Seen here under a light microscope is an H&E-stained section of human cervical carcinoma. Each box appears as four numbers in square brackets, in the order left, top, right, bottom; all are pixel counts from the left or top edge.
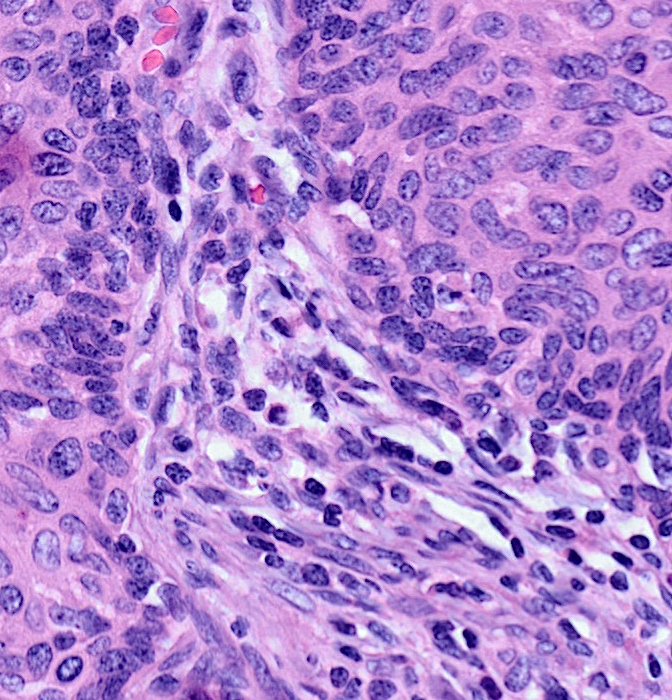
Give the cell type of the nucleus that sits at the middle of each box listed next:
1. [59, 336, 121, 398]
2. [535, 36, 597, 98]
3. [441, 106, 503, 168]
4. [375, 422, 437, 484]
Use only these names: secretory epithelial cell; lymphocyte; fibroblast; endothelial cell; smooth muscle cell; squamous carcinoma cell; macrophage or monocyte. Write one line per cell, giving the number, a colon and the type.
1: squamous carcinoma cell
2: squamous carcinoma cell
3: squamous carcinoma cell
4: lymphocyte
